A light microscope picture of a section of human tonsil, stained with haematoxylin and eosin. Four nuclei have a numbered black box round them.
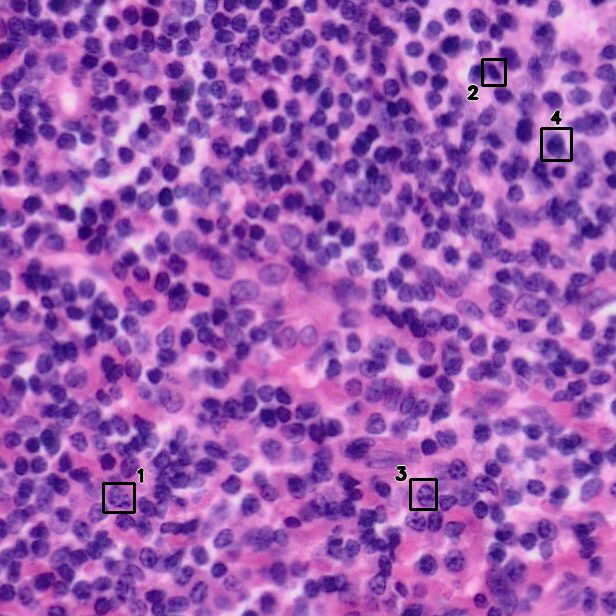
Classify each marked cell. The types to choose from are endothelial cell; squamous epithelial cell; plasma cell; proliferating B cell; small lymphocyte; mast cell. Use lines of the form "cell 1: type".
cell 1: plasma cell
cell 2: proliferating B cell
cell 3: plasma cell
cell 4: proliferating B cell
